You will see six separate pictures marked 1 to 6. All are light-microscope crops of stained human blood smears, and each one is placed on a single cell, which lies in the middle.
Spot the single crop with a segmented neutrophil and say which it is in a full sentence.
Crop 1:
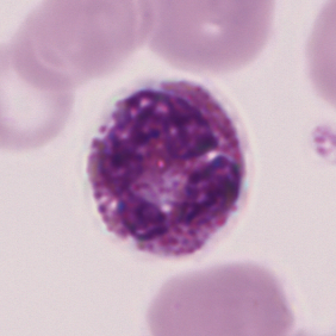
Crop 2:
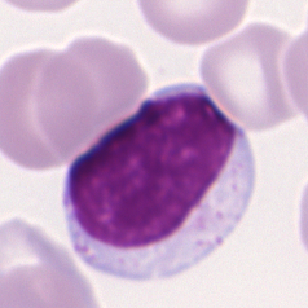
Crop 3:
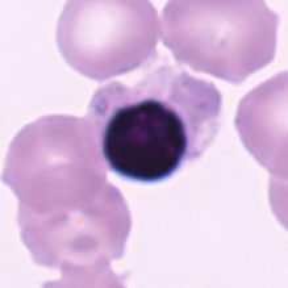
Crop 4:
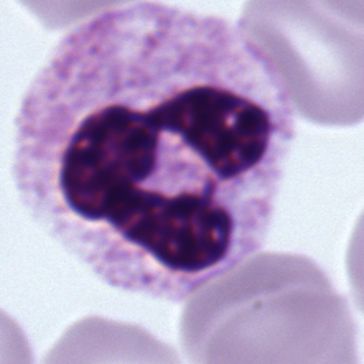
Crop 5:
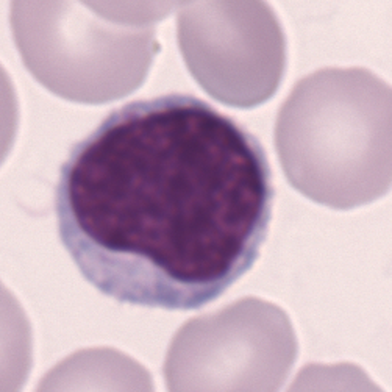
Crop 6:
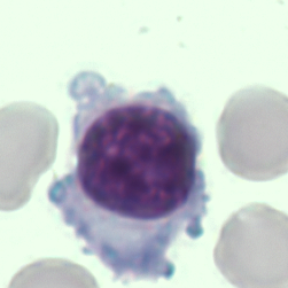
Of the labelled crops, the one that shows a segmented neutrophil is crop 4.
